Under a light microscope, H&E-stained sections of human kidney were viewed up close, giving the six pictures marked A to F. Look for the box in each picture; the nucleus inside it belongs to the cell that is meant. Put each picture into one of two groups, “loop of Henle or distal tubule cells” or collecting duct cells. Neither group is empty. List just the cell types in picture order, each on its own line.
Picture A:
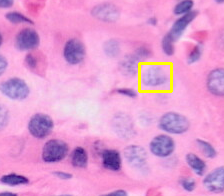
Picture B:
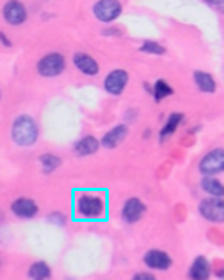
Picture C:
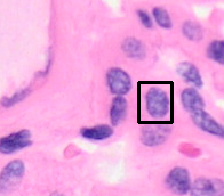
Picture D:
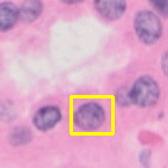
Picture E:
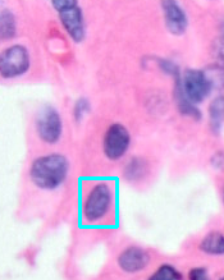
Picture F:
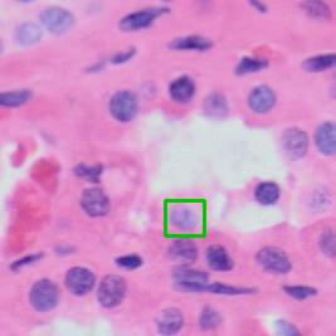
collecting duct cell
loop of Henle or distal tubule cell
collecting duct cell
loop of Henle or distal tubule cell
loop of Henle or distal tubule cell
loop of Henle or distal tubule cell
